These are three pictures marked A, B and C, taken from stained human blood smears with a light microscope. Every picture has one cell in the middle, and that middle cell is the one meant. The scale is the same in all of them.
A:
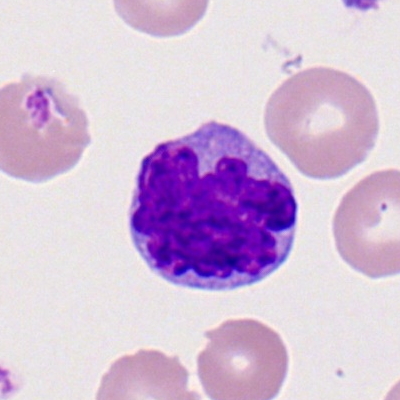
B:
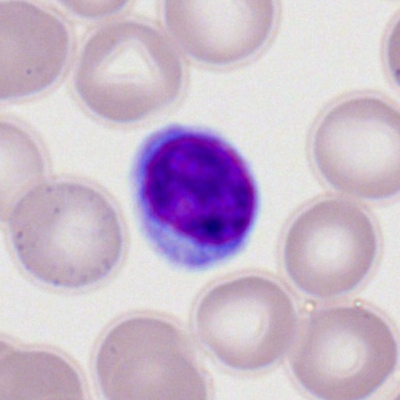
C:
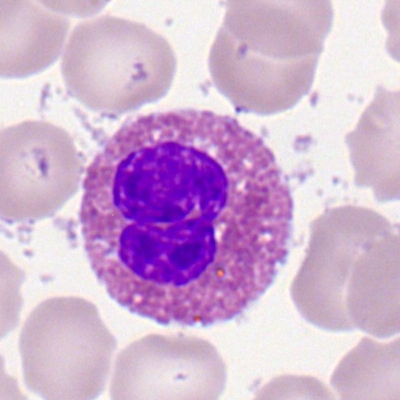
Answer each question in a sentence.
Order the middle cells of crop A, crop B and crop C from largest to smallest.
From the largest down, the order is C, A, B.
